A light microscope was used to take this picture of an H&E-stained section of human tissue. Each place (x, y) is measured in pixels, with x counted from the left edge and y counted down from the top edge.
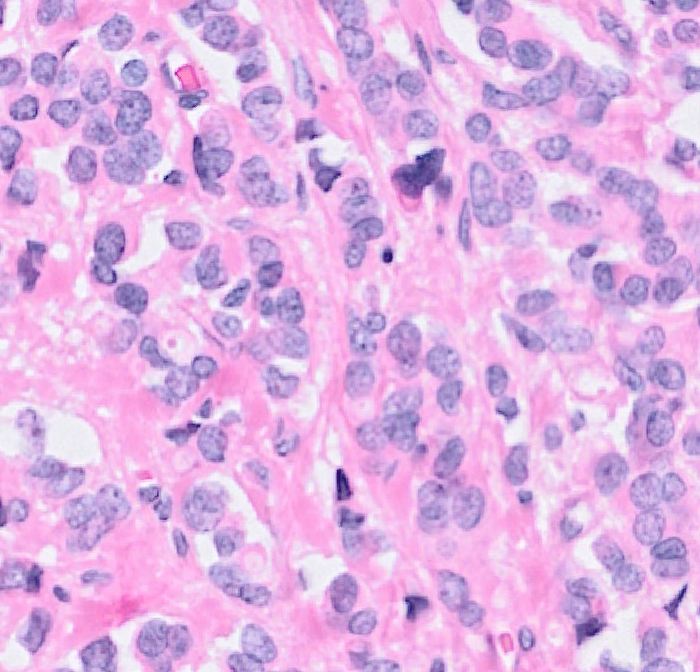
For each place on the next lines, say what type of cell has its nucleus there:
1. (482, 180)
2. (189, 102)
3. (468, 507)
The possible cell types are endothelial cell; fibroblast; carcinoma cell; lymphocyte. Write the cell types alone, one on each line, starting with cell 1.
carcinoma cell
endothelial cell
carcinoma cell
